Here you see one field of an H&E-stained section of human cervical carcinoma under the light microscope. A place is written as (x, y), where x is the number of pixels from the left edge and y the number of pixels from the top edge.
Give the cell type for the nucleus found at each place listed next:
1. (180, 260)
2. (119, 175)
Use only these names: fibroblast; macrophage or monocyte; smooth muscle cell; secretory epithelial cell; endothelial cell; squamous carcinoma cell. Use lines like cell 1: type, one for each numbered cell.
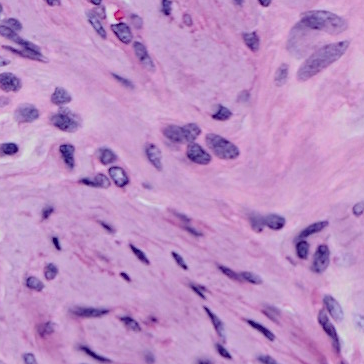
cell 1: fibroblast
cell 2: endothelial cell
